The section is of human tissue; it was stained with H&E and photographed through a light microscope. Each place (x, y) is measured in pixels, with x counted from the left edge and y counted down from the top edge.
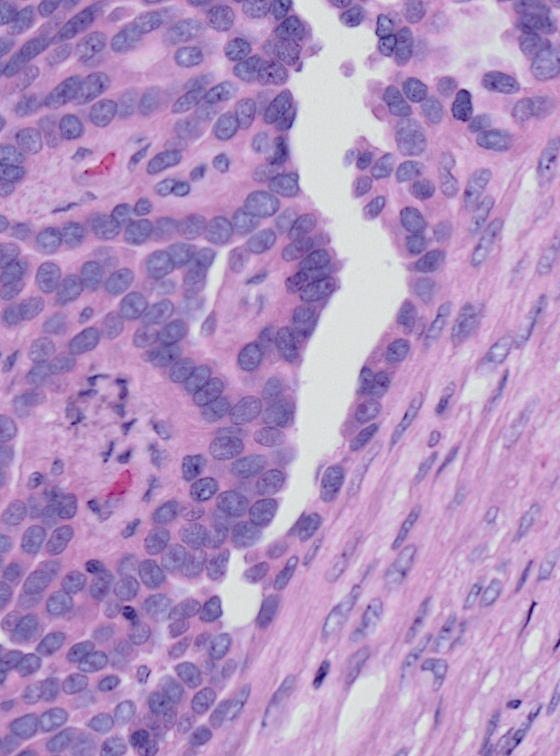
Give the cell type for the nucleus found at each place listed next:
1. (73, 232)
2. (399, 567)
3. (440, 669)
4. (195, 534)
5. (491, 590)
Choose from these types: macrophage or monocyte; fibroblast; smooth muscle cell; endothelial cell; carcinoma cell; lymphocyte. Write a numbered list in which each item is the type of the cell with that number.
1. carcinoma cell
2. fibroblast
3. fibroblast
4. carcinoma cell
5. fibroblast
